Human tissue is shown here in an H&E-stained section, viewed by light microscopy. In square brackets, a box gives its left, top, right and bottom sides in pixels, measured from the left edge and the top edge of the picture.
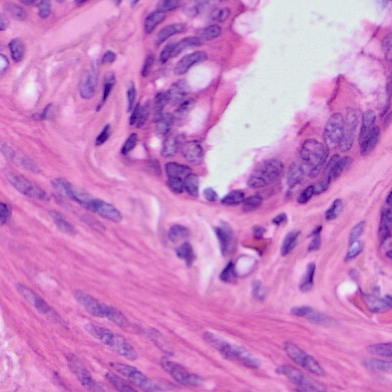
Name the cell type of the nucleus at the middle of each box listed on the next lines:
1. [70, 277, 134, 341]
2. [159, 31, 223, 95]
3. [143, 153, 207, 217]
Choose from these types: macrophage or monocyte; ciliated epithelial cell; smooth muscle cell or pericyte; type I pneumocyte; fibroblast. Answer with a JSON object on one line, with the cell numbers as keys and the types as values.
{"1": "smooth muscle cell or pericyte", "2": "ciliated epithelial cell", "3": "ciliated epithelial cell"}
